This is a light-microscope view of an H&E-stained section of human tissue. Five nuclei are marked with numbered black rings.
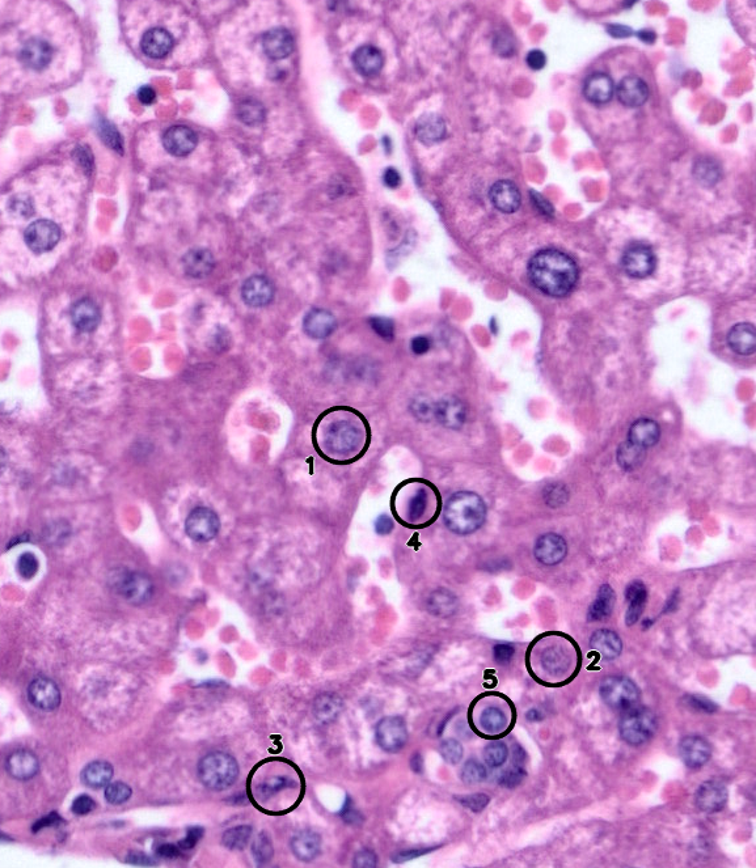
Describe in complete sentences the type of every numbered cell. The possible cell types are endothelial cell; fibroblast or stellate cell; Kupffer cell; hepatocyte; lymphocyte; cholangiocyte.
Cell 1 is a hepatocyte, cell 2 is a hepatocyte, cell 3 is a fibroblast or stellate cell, cell 4 is a fibroblast or stellate cell and cell 5 is a cholangiocyte.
